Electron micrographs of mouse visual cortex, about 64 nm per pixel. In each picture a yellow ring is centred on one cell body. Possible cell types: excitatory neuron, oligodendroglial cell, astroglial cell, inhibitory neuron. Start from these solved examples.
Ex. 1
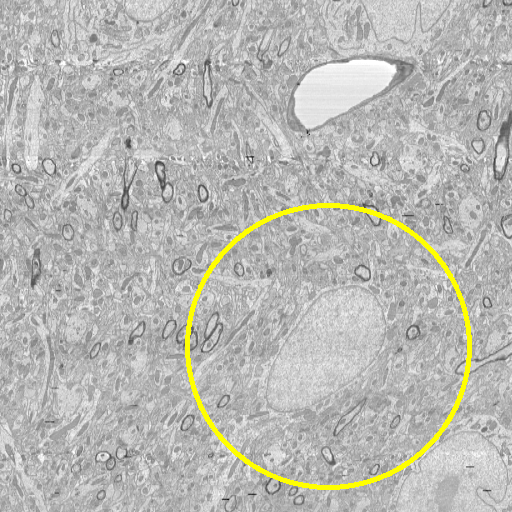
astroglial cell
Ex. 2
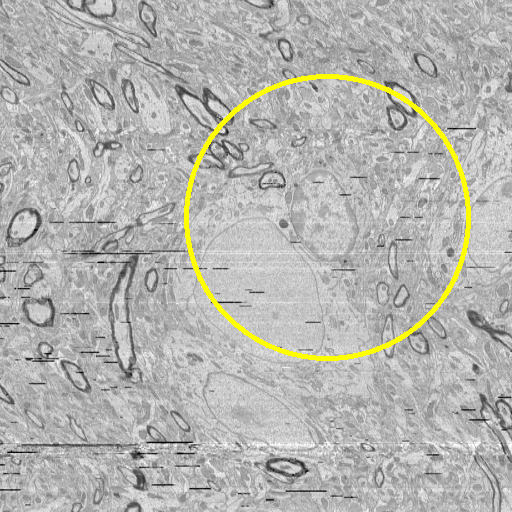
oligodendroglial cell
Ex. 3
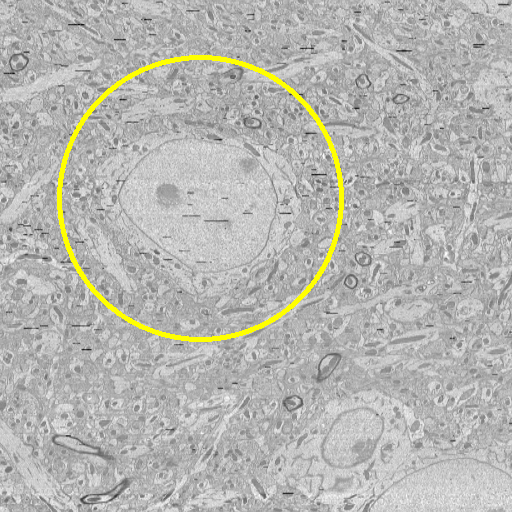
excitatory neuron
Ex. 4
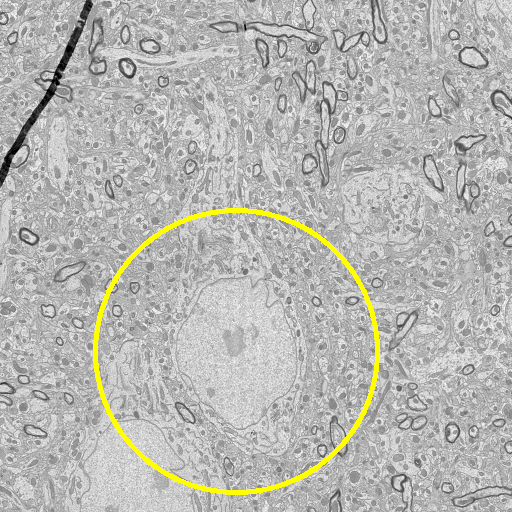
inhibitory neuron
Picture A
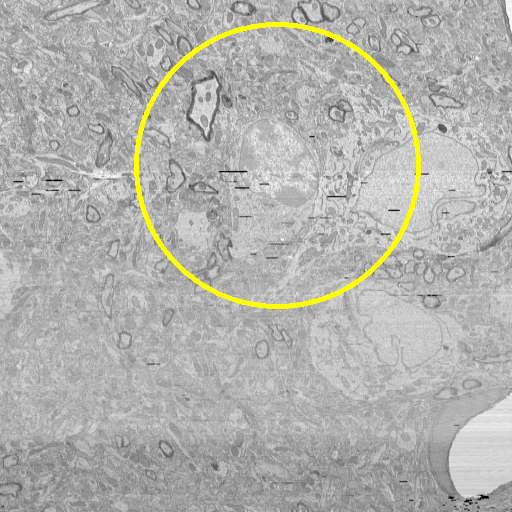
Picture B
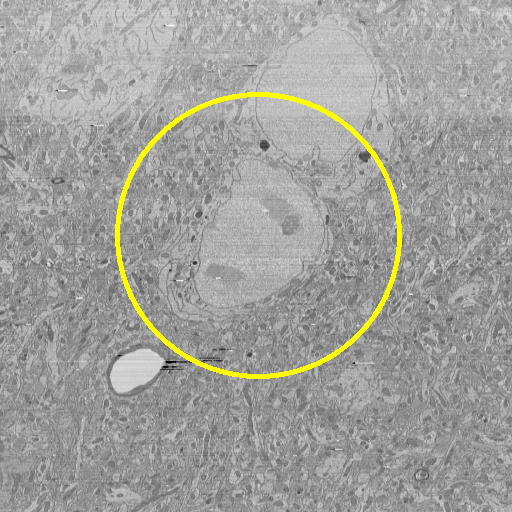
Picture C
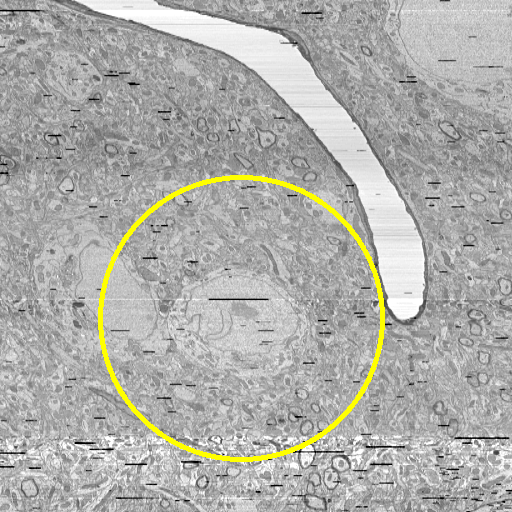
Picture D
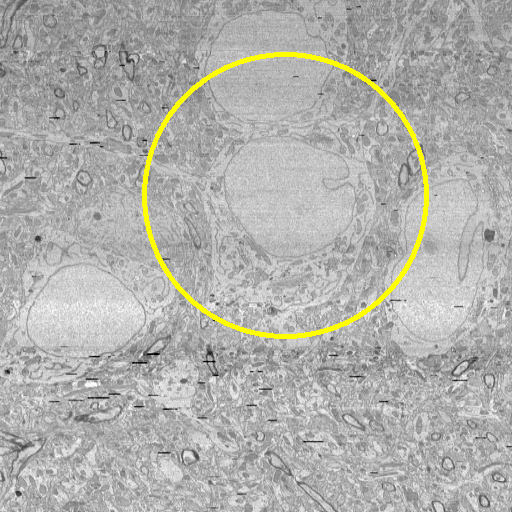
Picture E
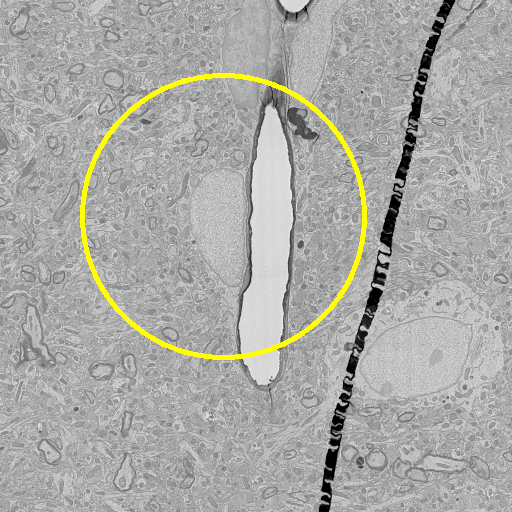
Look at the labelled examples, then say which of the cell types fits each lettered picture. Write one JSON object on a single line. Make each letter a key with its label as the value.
{"A": "oligodendroglial cell", "B": "inhibitory neuron", "C": "inhibitory neuron", "D": "inhibitory neuron", "E": "astroglial cell"}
